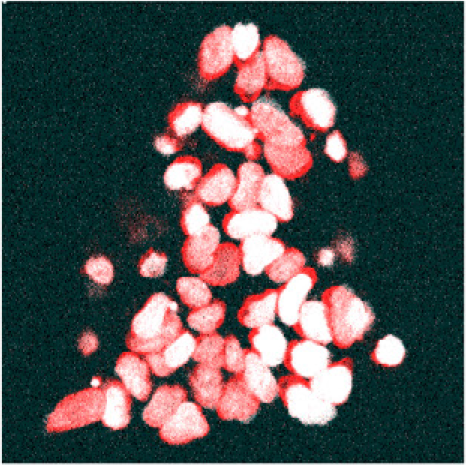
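This is a small, tightly packed colony of cells seen by their nuclei, which crowd against one another with little space between. The nuclei are rounded to oval and fairly uniform in size, many of them overlapping at their edges. Around the compact cluster the background is dark, with only a few scattered nuclei off to the sides.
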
